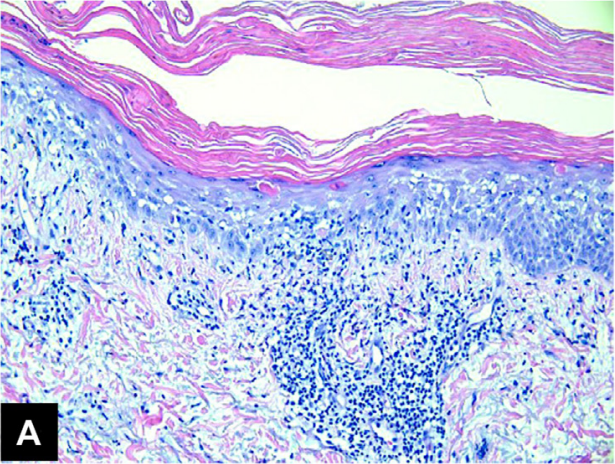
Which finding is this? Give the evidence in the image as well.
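A dense band and cluster of small round dark nuclei lies in the upper dermis just beneath the epidermis. The infiltrate reaches up to the lower border of the epidermis, blurring the junction. Small clear spaces lie along the lower epidermal layers.
Conclusion: interface vacuolar lymphocytic infiltrate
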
